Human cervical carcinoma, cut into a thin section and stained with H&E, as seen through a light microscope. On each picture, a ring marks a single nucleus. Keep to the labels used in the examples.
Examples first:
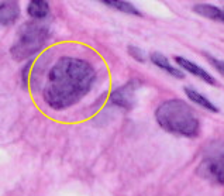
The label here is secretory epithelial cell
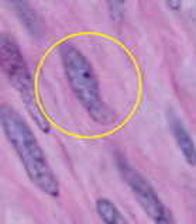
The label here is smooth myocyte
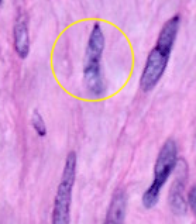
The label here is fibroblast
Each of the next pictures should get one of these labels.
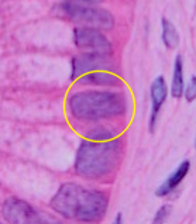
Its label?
secretory epithelial cell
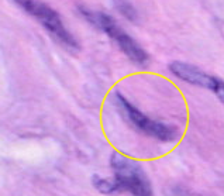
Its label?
fibroblast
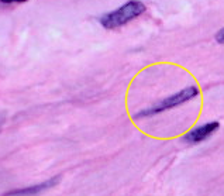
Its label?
fibroblast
